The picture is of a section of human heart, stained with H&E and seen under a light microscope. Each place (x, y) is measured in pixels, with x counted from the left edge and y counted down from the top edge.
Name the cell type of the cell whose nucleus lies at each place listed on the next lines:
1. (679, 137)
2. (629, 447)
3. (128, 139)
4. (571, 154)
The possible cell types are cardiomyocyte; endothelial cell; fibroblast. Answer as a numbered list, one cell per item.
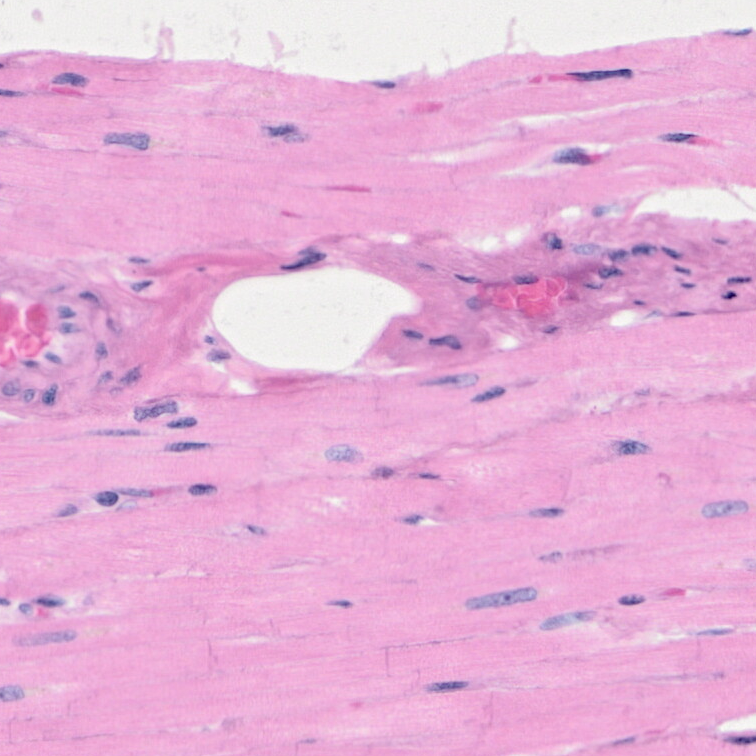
1. endothelial cell
2. endothelial cell
3. cardiomyocyte
4. endothelial cell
